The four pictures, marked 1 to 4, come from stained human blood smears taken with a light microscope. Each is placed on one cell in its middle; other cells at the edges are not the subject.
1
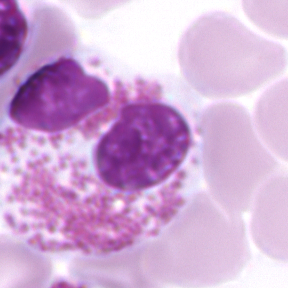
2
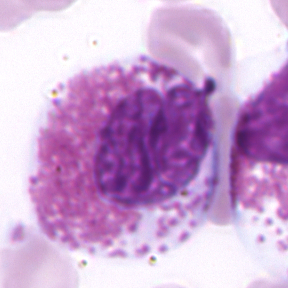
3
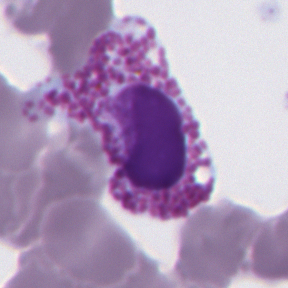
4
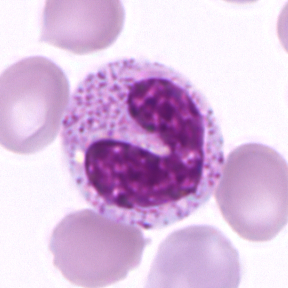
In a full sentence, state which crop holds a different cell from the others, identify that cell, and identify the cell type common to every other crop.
The single exception among the crops is crop 4, which is a band neutrophil; the rest show eosinophils.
